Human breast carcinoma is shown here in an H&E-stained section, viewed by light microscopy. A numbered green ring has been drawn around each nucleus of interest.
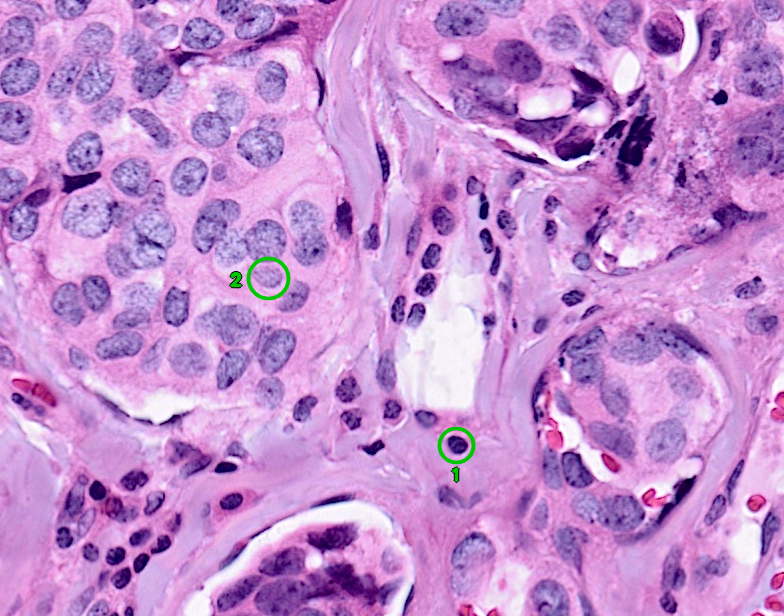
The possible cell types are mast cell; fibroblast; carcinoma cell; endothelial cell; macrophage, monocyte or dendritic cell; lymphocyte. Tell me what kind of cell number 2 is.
carcinoma cell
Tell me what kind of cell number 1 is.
lymphocyte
